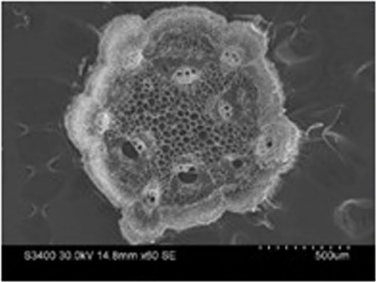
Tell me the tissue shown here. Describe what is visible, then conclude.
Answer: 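Stem. Rounded, slightly lobed cross-section outline. Several vascular bundles with large vessel openings lie in a ring within ground tissue. Centre filled with many small polygonal cells.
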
